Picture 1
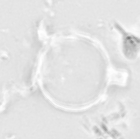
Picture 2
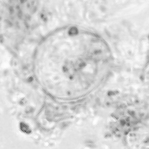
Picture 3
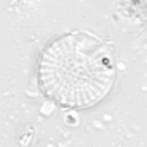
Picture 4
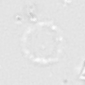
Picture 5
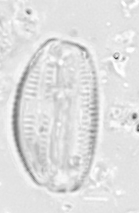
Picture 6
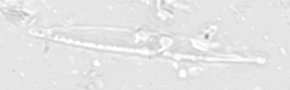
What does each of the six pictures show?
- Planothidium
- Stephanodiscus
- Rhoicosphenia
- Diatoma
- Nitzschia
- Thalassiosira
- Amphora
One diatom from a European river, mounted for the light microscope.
1: Planothidium
2: Stephanodiscus
3: Stephanodiscus
4: Thalassiosira
5: Amphora
6: Nitzschia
